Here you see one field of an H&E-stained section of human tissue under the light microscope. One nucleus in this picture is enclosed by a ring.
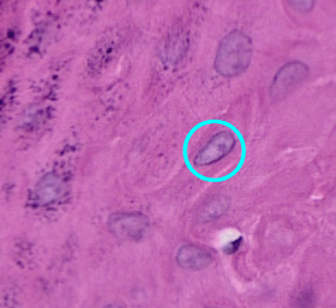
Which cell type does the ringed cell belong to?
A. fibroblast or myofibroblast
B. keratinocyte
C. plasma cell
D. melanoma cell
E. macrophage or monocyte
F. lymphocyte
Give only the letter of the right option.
B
